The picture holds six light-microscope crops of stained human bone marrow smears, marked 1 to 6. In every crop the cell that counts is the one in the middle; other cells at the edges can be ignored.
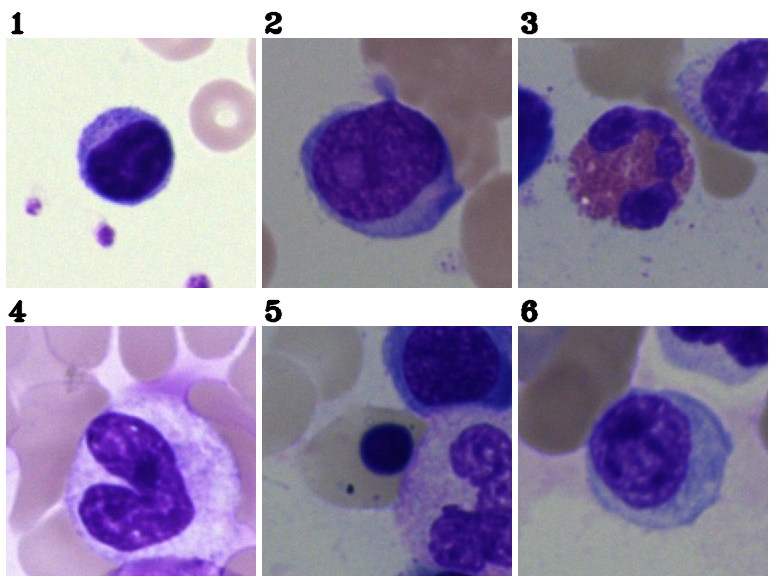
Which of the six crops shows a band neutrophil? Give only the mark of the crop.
4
